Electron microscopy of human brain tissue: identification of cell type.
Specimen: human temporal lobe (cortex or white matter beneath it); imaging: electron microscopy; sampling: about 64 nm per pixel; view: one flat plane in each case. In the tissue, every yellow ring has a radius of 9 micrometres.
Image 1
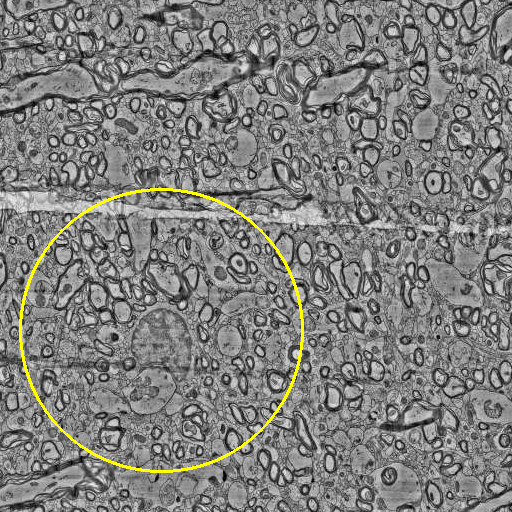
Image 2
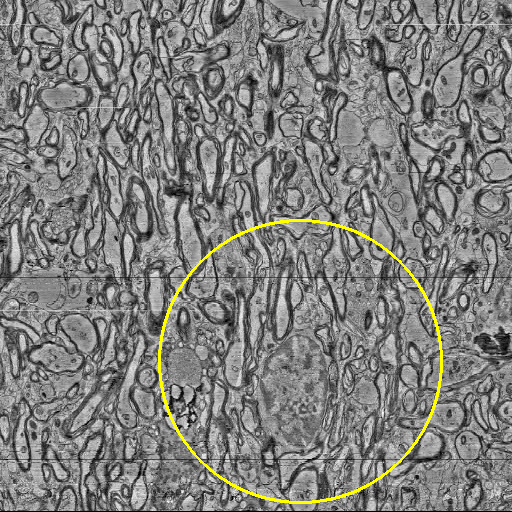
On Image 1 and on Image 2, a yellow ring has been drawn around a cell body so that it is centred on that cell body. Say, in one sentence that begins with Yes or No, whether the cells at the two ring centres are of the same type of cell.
Yes, both cells are the same type of cell.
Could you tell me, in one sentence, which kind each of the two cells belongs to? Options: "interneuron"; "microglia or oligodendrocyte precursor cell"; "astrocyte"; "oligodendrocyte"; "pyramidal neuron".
The ring centre holds an oligodendrocyte in each of the two pictures.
